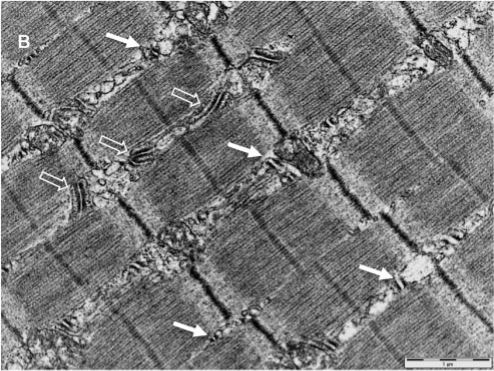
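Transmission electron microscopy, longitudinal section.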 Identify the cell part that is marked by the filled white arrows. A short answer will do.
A: Triads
